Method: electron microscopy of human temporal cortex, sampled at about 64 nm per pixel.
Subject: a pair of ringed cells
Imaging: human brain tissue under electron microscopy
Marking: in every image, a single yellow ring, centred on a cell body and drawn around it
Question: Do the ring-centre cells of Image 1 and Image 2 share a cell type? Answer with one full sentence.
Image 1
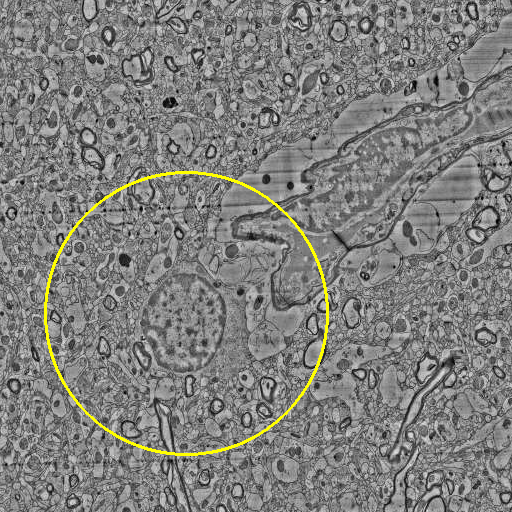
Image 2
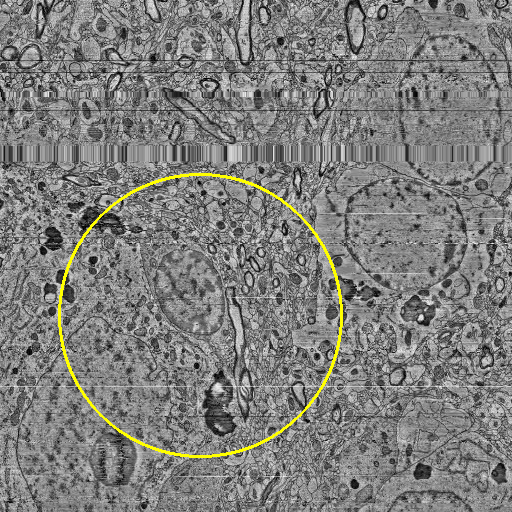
Yes, at each ring's centre in the images sits a cell of one common type.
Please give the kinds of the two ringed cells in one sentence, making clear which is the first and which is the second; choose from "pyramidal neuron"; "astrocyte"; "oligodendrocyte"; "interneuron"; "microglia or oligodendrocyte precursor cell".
The second cell is an oligodendrocyte, just as the first is.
